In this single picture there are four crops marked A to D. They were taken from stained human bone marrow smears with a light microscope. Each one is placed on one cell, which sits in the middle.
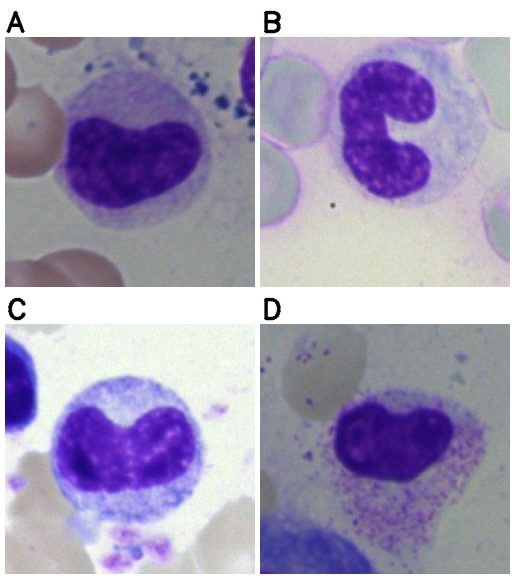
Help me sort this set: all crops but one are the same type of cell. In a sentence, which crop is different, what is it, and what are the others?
There is a band neutrophil in crop B, while all the other crops show metamyelocytes.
